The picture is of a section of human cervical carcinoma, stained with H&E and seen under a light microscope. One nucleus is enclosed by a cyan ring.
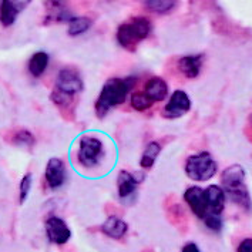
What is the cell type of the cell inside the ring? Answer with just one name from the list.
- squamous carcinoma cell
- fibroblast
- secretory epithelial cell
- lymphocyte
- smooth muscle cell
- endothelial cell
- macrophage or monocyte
lymphocyte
